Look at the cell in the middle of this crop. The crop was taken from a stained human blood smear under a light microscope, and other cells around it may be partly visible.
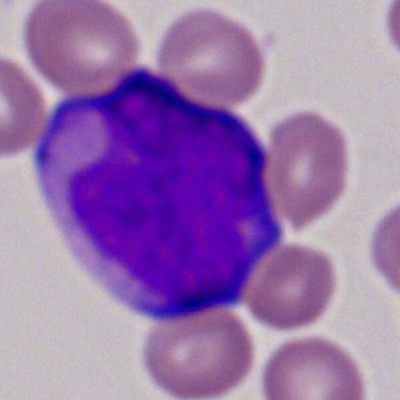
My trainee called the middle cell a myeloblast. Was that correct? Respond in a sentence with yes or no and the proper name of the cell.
Yes, the cell that is in the middle is a myeloblast.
